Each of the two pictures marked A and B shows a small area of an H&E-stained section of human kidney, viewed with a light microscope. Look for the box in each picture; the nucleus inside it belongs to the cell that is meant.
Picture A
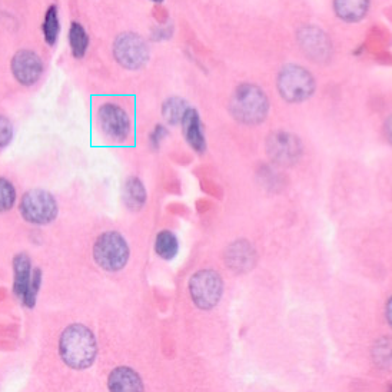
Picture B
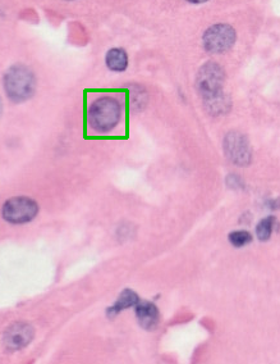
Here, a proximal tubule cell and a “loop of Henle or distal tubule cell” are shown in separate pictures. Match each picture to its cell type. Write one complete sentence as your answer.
In picture A the cell is a “loop of Henle or distal tubule cell”; in picture B, a proximal tubule cell.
